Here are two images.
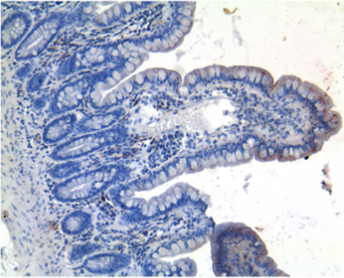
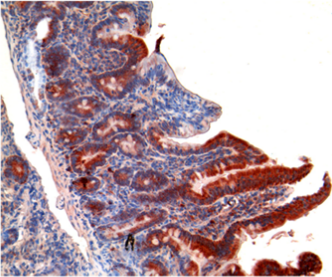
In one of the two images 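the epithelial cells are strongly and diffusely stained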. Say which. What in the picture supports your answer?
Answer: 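Second image: the villous and crypt epithelium is stained deep red-brown throughout the cytoplasm. First image: the epithelium is almost entirely blue with at most faint brown. The answer: the second image.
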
